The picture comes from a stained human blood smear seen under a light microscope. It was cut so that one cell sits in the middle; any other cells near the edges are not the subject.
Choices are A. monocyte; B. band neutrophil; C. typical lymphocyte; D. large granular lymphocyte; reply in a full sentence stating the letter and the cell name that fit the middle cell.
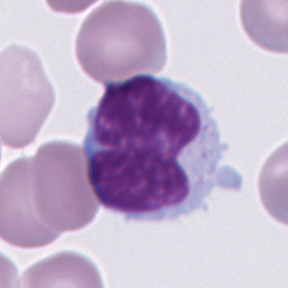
In the middle of the crop is a large granular lymphocyte; option D is therefore correct.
